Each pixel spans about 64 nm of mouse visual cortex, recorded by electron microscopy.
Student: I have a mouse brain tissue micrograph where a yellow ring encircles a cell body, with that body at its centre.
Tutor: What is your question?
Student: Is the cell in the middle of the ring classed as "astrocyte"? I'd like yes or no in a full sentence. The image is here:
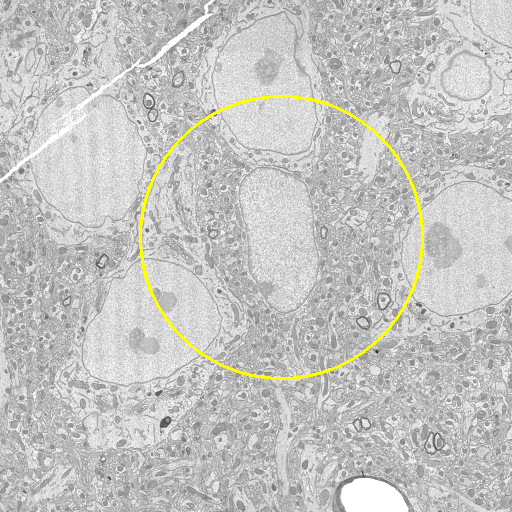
Yes, the cell in the middle of the ring is classed as that kind.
